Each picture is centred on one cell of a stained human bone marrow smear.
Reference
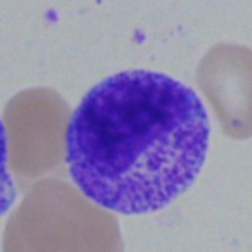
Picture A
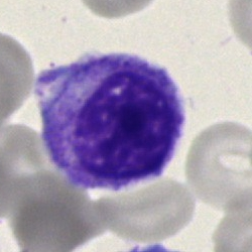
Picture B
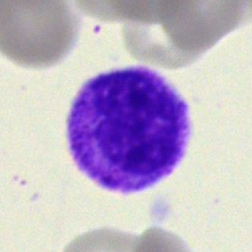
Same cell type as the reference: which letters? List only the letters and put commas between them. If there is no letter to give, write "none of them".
A, B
